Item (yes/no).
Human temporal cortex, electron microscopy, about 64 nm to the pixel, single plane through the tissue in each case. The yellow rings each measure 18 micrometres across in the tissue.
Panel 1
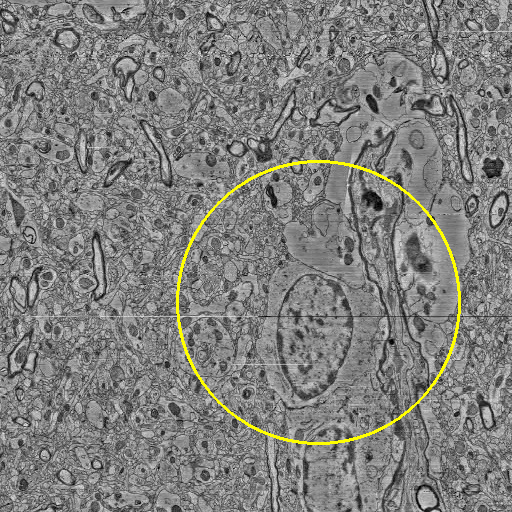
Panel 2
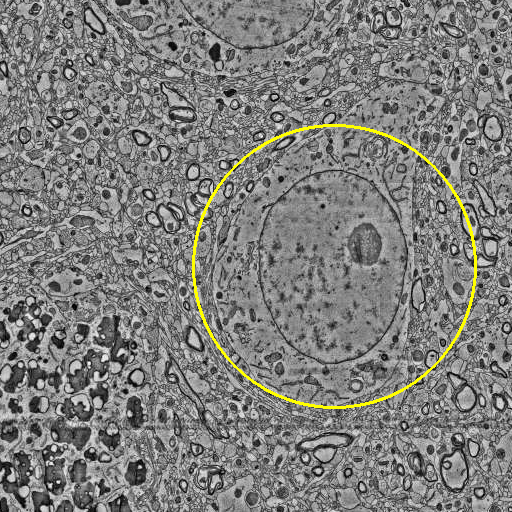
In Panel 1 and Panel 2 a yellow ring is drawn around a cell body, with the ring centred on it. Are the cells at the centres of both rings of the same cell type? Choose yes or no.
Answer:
no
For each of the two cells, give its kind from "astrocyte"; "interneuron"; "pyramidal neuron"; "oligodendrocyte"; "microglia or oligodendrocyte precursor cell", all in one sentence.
The first picture has a microglial cell or oligodendrocyte precursor cell in its ring, the second has a pyramidal neuron.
